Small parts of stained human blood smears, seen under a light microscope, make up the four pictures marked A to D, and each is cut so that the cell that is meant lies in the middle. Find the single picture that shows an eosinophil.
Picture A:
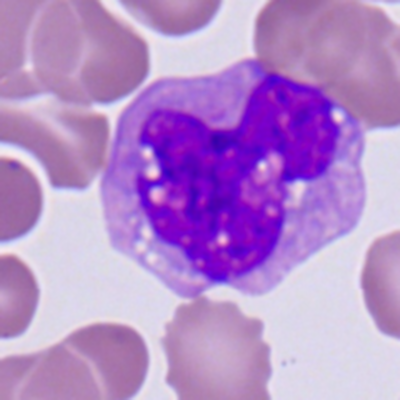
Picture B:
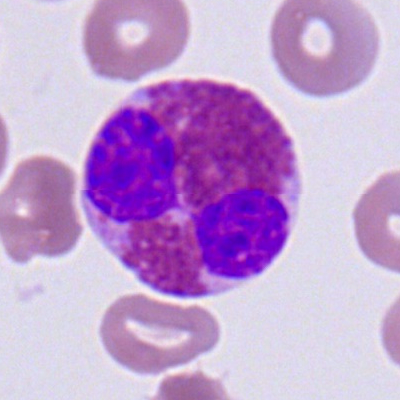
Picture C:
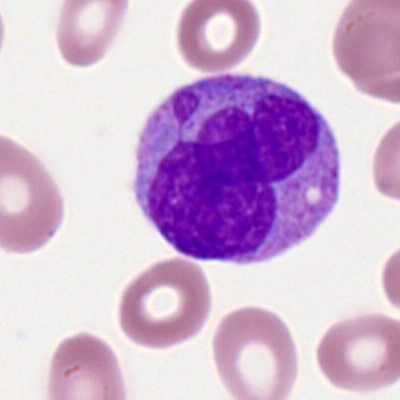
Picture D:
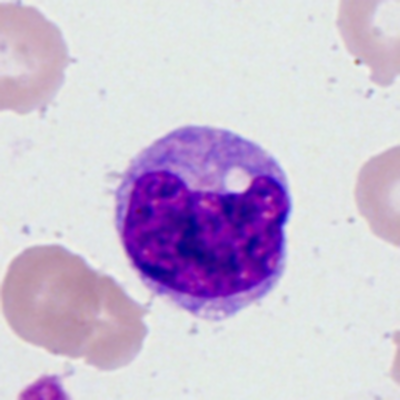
B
